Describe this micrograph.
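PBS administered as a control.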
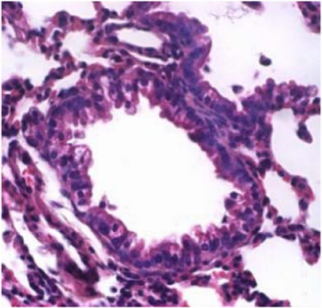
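This is lung tissue showing an airway in the centre surrounded by alveoli. Few red blood cells or scattered inflammatory cells are seen in the air spaces, and the tissue architecture looks orderly.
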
